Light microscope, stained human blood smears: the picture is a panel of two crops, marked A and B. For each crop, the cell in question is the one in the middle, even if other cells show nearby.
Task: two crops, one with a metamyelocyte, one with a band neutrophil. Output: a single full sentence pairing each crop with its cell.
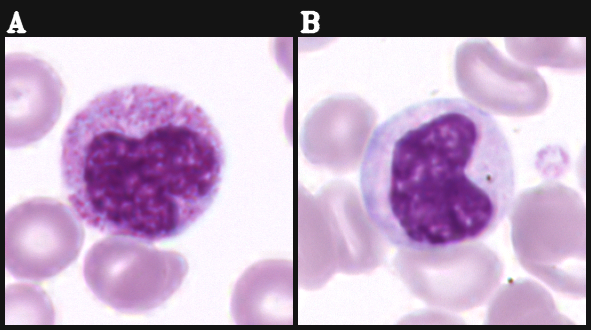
For crop A the cell is a band neutrophil, and for crop B it is a metamyelocyte.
